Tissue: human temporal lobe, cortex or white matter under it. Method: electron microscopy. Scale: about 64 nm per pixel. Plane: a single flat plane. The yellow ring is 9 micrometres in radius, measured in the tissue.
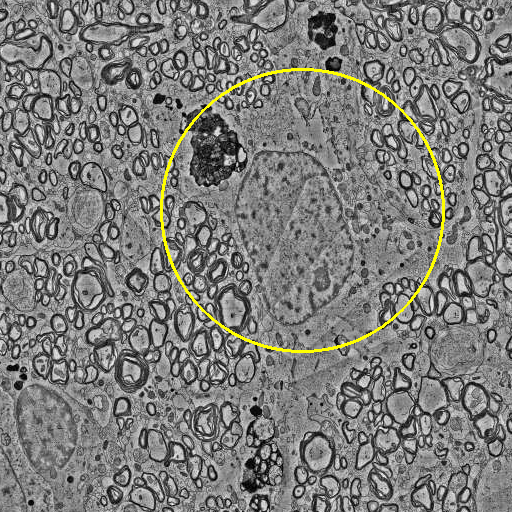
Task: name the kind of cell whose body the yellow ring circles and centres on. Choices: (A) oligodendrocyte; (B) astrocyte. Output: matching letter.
B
